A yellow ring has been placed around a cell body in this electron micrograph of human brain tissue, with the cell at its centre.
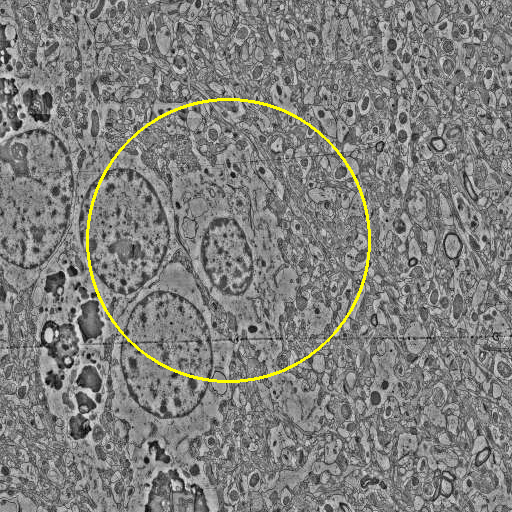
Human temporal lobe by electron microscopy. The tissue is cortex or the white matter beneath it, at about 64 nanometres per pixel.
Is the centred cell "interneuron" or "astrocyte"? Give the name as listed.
astrocyte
